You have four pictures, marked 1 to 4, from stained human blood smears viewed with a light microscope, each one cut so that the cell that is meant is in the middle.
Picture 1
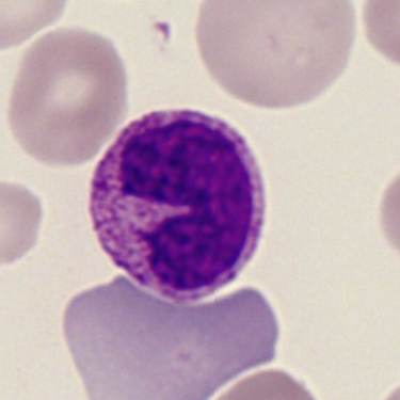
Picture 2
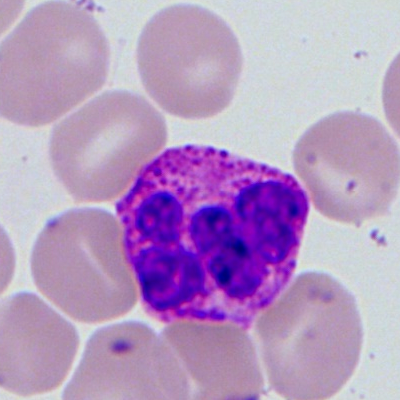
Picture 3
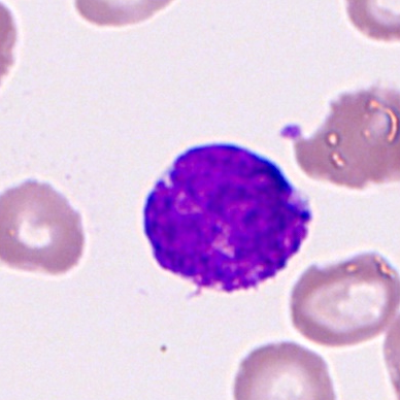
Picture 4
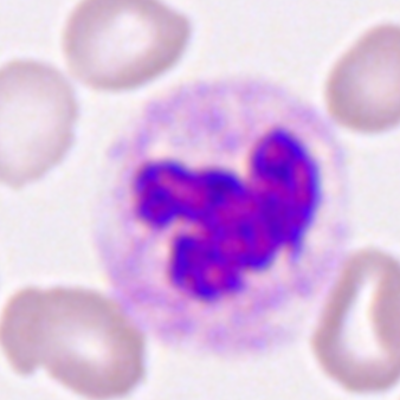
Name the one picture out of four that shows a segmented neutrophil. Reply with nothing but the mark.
4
